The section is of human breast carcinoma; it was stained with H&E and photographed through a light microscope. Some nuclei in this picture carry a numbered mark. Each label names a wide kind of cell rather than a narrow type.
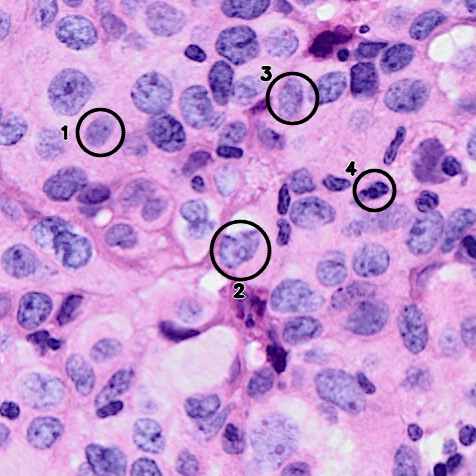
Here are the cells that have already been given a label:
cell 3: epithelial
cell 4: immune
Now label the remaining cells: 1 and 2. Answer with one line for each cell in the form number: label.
1: epithelial
2: epithelial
